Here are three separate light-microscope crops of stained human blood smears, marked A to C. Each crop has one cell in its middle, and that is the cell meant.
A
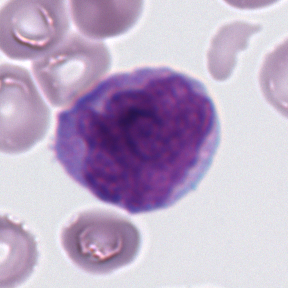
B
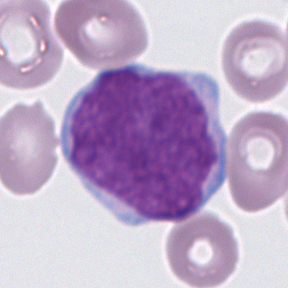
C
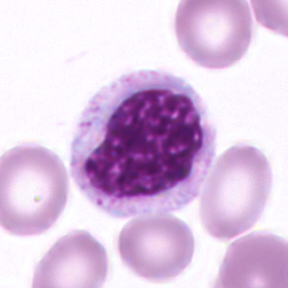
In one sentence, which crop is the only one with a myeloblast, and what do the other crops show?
The middle of crop B is occupied by a myeloblast, while crop A is an atypical promyelocyte and crop C is a metamyelocyte.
